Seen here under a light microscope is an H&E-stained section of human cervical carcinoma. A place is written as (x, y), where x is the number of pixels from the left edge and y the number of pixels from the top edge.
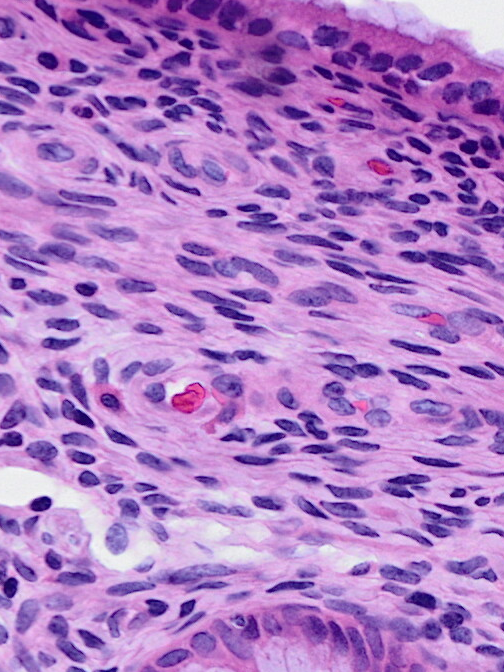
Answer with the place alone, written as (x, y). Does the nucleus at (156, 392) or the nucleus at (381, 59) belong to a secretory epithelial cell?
(381, 59)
